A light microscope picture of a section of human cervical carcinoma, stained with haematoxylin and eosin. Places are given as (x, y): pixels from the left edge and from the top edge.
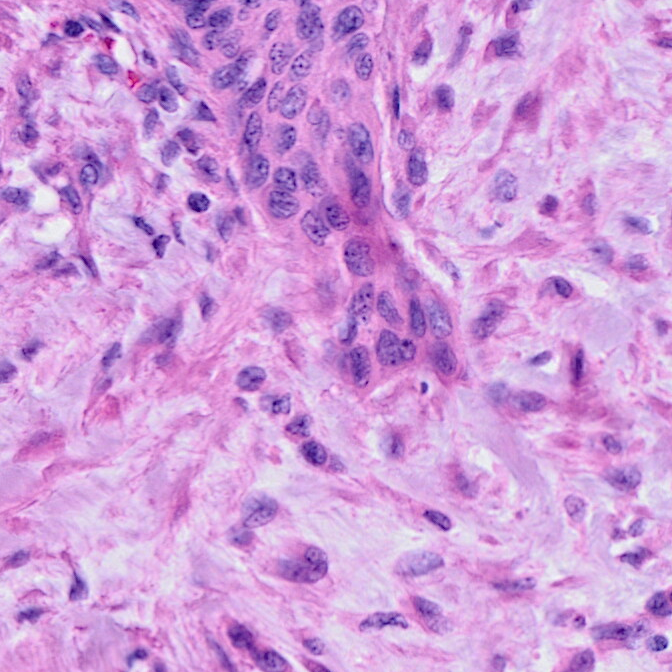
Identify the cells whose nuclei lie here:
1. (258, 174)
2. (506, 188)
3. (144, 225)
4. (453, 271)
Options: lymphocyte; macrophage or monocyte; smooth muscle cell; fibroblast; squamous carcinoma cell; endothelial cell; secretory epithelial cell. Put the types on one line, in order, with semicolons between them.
squamous carcinoma cell; fibroblast; fibroblast; fibroblast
